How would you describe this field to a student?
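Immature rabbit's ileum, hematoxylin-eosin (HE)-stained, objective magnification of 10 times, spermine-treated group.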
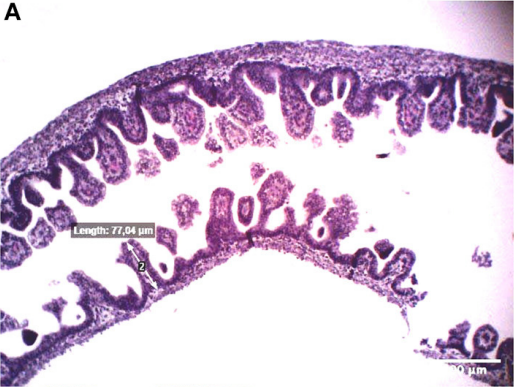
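A curved section of intestinal wall is seen with mucosa on two opposite sides of a lumen. Club- and finger-shaped projections with pink cores and a purple-staining epithelial covering extend into the lumen. Their bases sit on a band of deeper-staining mucosa, outside of which lies a paler layered muscular wall. Some projections are cut across and appear as detached round or oval profiles in the lumen.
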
